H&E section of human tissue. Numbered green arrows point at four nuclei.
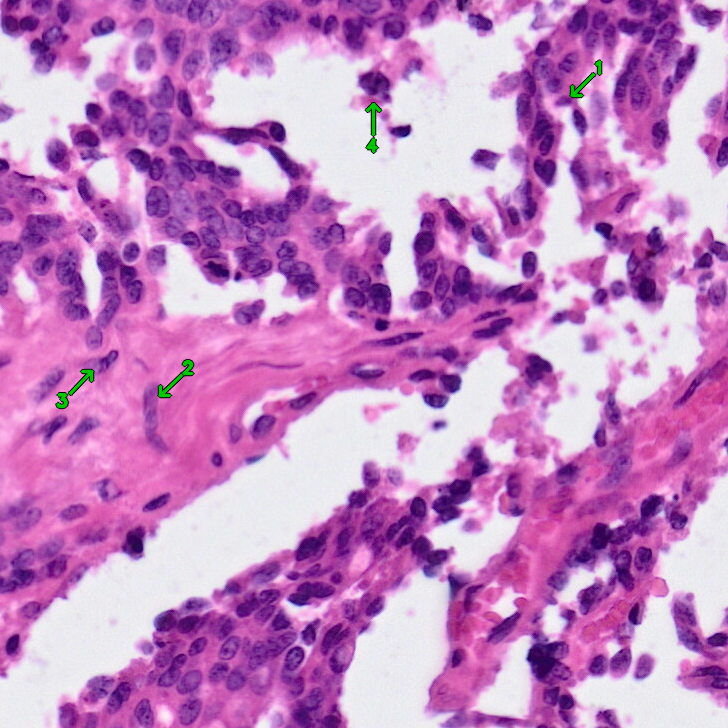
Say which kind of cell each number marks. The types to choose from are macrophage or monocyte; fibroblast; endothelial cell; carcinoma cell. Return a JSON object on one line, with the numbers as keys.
{"1": "carcinoma cell", "2": "fibroblast", "3": "fibroblast", "4": "macrophage or monocyte"}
